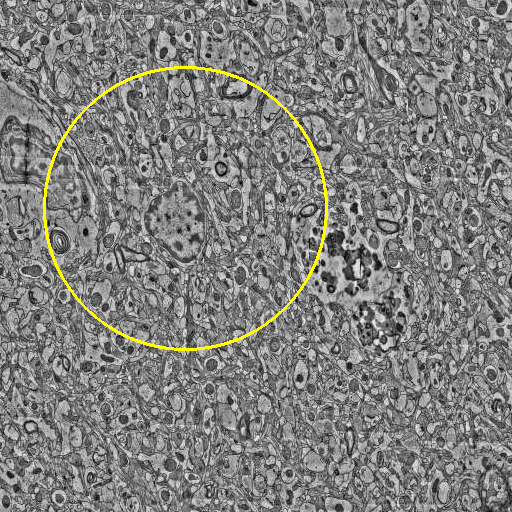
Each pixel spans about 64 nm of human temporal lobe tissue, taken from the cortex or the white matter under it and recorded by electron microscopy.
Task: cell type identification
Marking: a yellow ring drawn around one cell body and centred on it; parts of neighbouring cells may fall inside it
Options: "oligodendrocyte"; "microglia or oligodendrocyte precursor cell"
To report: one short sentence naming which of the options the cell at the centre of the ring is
The cell at the centre of the ring is a microglial cell or oligodendrocyte precursor cell.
